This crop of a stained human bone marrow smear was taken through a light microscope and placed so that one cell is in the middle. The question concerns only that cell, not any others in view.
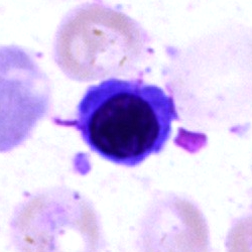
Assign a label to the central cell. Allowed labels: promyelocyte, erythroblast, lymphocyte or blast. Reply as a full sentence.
Centrally within this crop lies an erythroblast.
